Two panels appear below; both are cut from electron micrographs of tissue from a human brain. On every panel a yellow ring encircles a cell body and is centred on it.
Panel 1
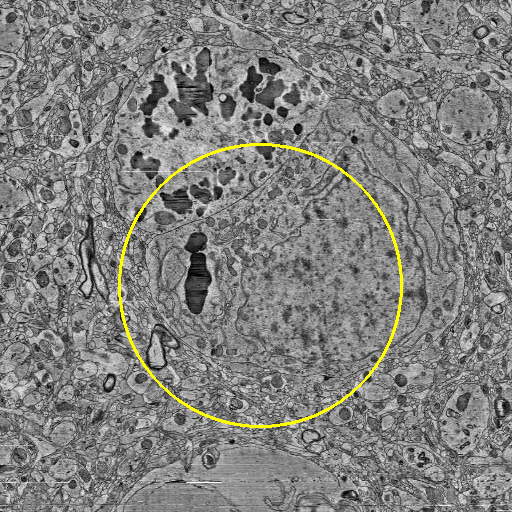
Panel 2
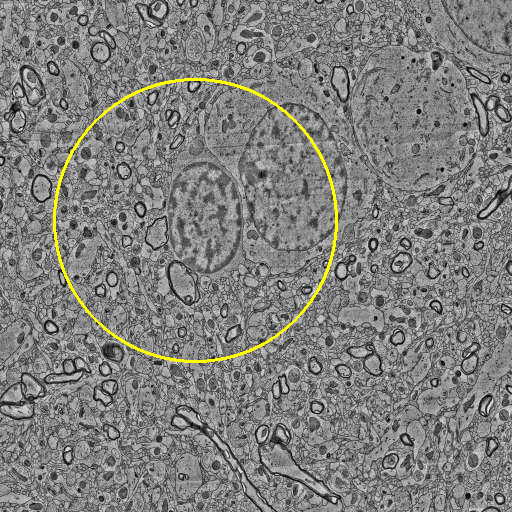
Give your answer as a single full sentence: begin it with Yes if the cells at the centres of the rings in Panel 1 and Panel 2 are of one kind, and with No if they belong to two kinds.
No, the cells in the middle of the rings in Panels 1 and 2 are of two kinds.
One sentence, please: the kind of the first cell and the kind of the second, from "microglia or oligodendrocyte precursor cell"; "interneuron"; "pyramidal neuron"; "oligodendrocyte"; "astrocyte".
The ring in the first picture surrounds an interneuron, and the ring in the second surrounds an oligodendrocyte.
